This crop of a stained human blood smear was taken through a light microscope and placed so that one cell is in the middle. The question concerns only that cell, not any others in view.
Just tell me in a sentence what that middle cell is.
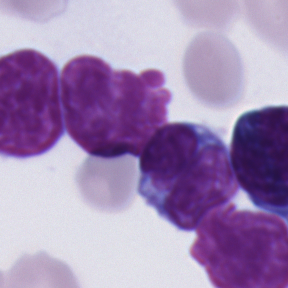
For this crop, the central cell is a blast.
